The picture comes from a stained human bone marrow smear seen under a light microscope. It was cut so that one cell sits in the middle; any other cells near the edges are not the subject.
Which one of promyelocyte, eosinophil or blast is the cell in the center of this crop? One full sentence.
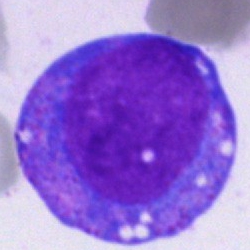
By type, the central cell of the crop is a blast.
